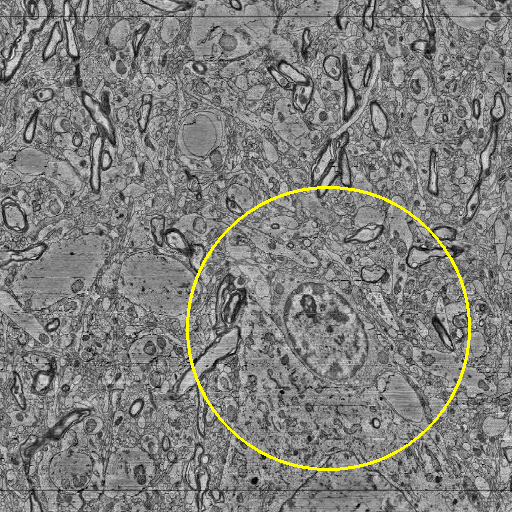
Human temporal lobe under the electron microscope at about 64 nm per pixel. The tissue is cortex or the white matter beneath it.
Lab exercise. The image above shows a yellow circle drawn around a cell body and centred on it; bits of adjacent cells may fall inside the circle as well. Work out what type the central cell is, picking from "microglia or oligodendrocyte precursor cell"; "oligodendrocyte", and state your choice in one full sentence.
In the image above, the cell at the centre of the yellow circle is an oligodendrocyte.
